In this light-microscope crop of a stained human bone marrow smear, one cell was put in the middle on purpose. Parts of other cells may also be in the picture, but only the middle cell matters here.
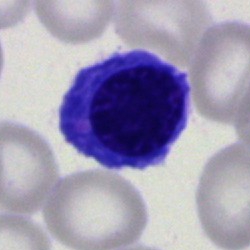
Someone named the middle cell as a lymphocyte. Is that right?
no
